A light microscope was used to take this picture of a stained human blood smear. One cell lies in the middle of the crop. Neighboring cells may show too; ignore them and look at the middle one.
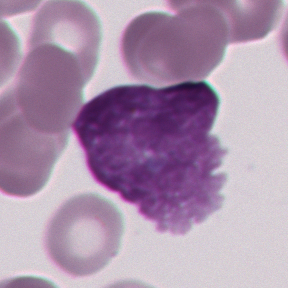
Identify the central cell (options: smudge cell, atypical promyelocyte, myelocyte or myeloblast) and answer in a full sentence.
The cell featured at the centre of this crop is a smudge cell.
